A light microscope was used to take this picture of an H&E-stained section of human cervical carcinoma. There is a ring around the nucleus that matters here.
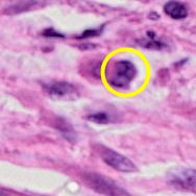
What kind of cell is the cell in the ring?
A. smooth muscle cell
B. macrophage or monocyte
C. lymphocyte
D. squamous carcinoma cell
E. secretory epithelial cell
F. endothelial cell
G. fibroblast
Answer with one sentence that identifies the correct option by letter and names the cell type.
Option B is right in classifying the cell in the ring as a macrophage or monocyte.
